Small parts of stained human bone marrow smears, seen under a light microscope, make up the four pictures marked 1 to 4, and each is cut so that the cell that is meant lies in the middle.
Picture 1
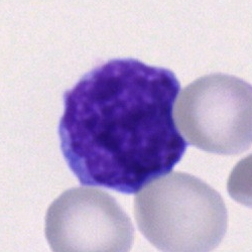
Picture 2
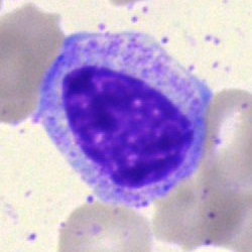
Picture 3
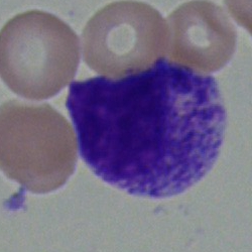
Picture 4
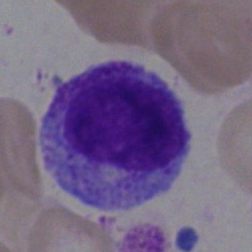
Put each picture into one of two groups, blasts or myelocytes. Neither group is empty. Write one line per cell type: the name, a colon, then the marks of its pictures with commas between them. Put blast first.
blast: 1
myelocyte: 2, 3, 4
